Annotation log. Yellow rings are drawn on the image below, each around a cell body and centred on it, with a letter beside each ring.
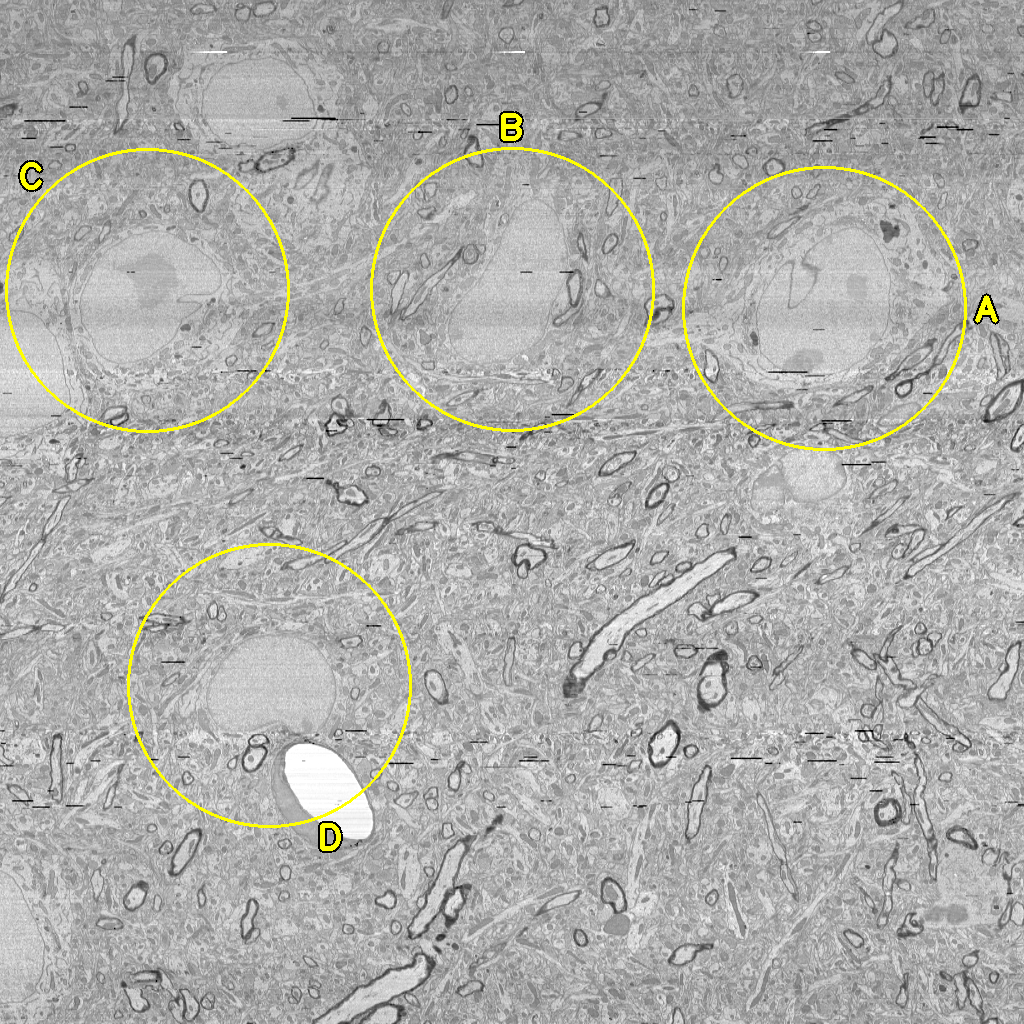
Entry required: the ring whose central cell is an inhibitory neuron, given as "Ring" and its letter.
Ring C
